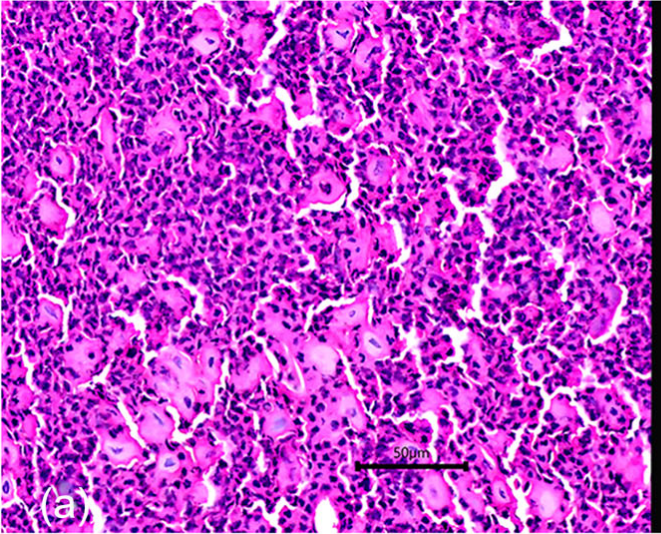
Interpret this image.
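This is crust material made up mostly of a dense mass of neutrophils, with acantholytic keratinocytes scattered through it. The neutrophils are small cells with dark purple nuclei and little cytoplasm, packed tightly across the whole field. Among them lie larger cells, angular to rounded, with plentiful bright pink cytoplasm and a single small dark nucleus. These keratinocytes sit singly rather than joined in sheets, separated from each other by the inflammatory cells. No layered epidermis is seen, and the mass is broken by many narrow white clefts.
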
